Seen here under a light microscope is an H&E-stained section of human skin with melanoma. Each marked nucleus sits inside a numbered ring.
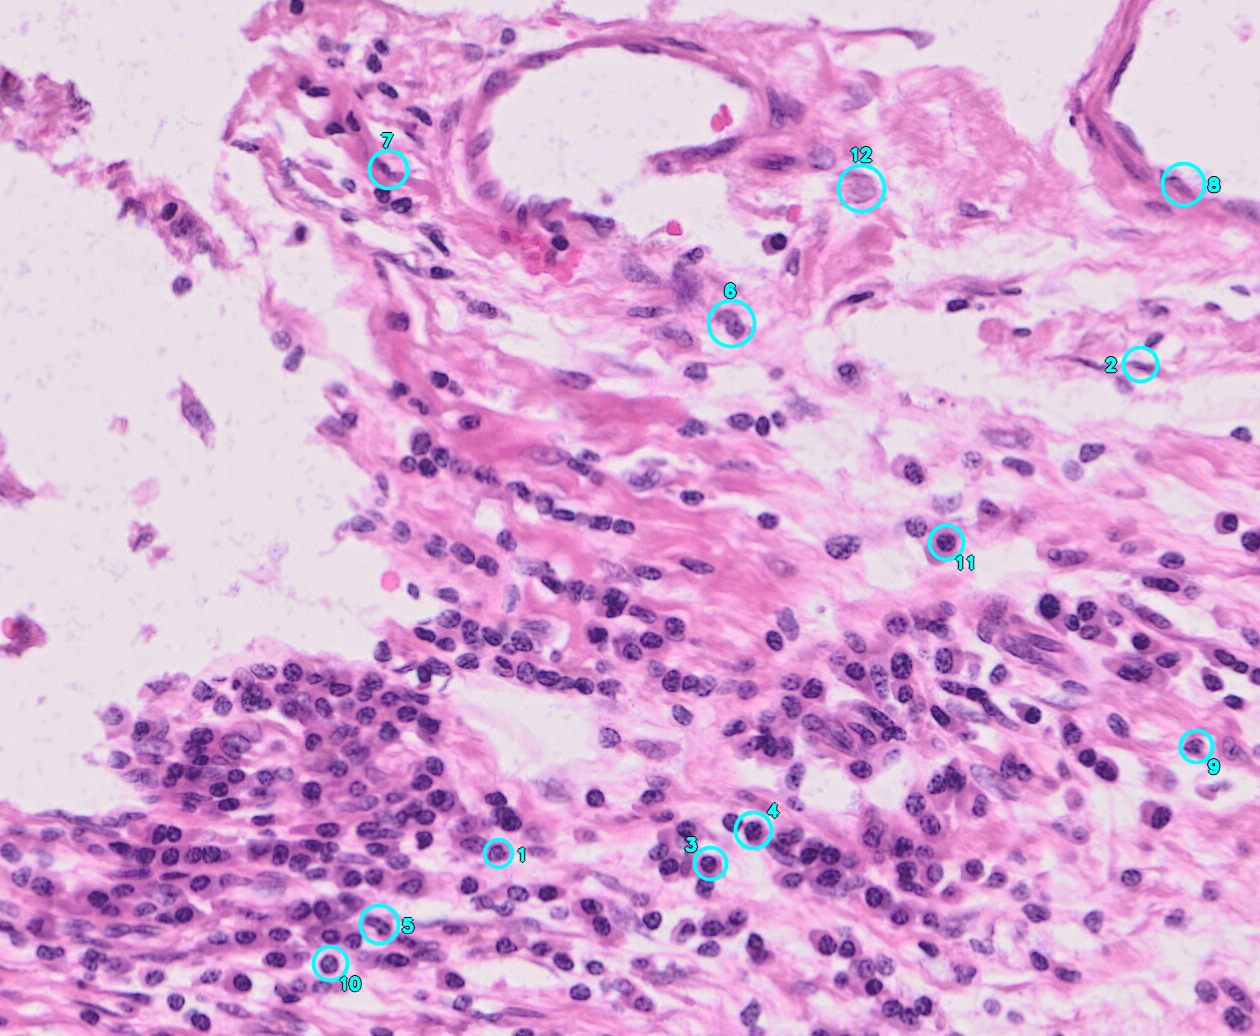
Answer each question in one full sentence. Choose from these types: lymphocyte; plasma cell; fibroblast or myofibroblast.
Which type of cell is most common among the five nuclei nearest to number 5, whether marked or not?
Most of the five nuclei nearest to number 5 are those of plasma cells.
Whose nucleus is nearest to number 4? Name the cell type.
The nearest nucleus to number 4 belongs to a lymphocyte.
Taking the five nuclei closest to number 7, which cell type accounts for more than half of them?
Lymphocytes make up most of the five nuclei closest to number 7.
